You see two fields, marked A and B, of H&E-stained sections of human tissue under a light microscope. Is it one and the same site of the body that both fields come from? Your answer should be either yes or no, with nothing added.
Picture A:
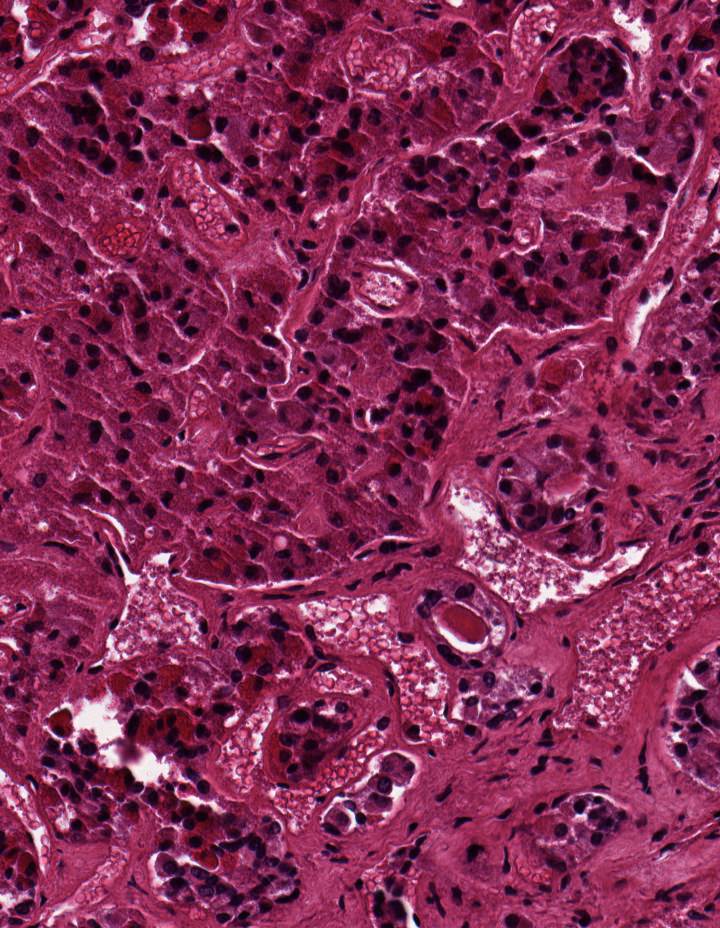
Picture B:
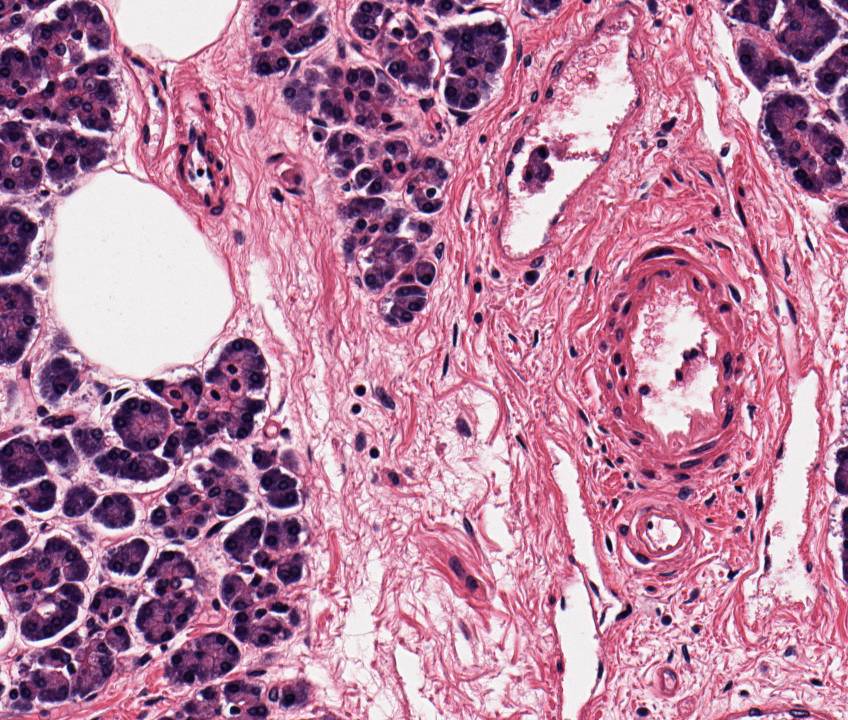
no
